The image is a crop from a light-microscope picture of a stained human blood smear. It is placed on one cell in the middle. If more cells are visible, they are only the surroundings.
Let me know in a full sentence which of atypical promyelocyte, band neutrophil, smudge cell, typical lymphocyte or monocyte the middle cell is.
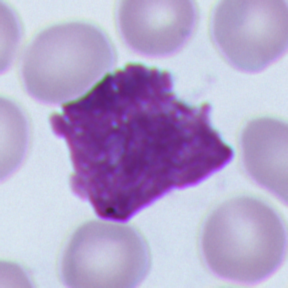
The cell at the heart of this crop is a smudge cell.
